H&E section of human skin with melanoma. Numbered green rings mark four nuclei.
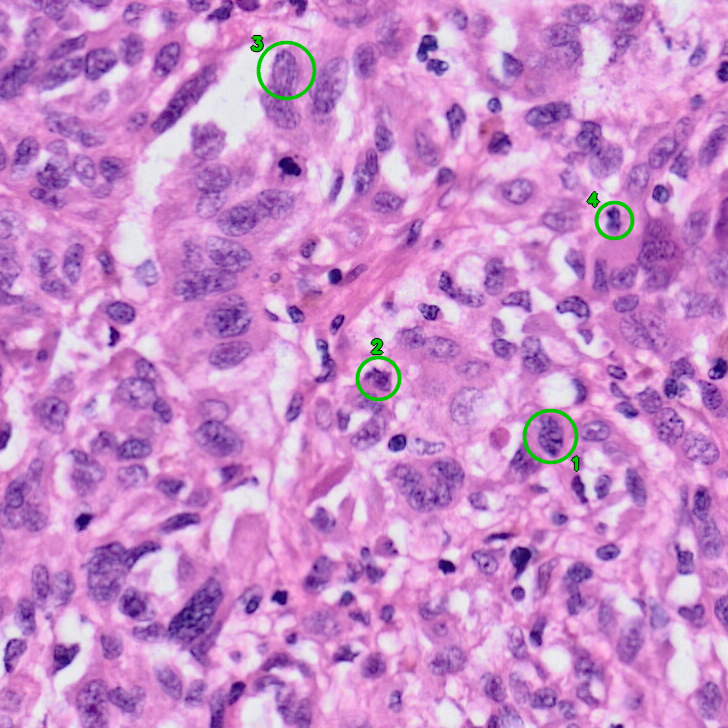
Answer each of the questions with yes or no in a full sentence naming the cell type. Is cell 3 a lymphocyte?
No, cell 3 is not a lymphocyte: it is a melanoma cell.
